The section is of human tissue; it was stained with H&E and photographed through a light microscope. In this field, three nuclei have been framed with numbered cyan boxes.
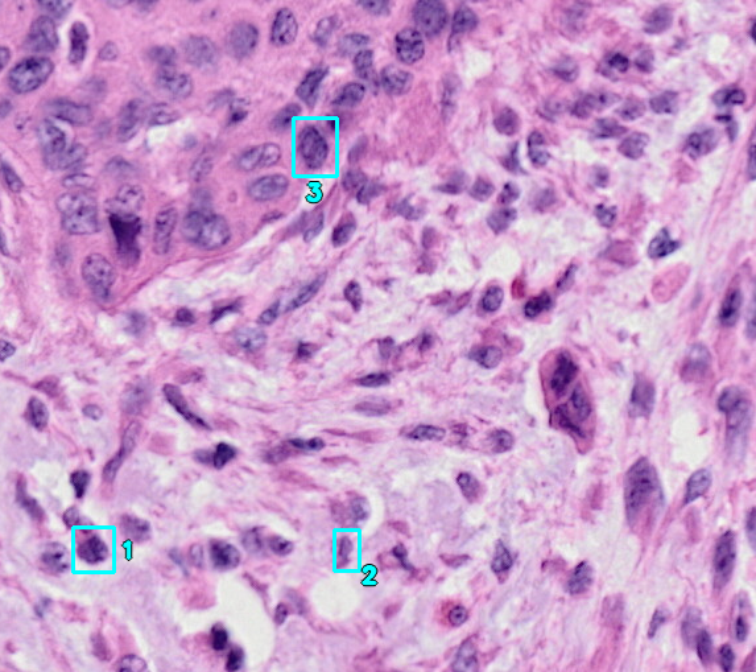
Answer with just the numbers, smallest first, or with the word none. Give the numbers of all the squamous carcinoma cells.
3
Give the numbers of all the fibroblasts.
2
